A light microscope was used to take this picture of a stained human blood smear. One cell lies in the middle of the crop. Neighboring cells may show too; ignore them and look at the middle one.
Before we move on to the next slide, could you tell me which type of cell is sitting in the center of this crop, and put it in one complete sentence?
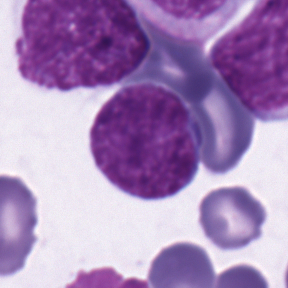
Occupying the centre of the crop is a blast.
